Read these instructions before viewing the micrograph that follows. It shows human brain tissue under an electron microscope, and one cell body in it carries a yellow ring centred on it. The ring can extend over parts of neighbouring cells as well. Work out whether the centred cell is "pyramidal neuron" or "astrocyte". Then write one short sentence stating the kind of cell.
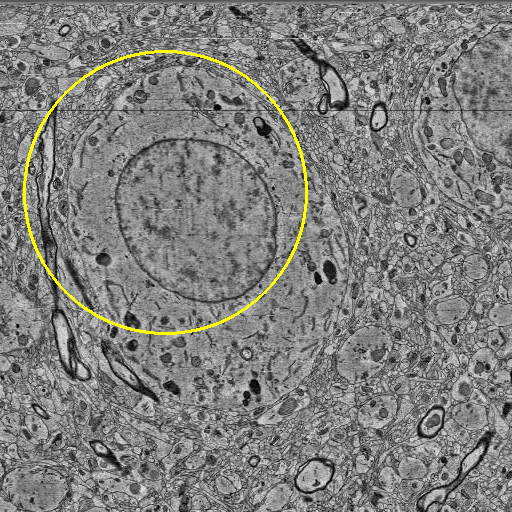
The ringed cell is a pyramidal neuron.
